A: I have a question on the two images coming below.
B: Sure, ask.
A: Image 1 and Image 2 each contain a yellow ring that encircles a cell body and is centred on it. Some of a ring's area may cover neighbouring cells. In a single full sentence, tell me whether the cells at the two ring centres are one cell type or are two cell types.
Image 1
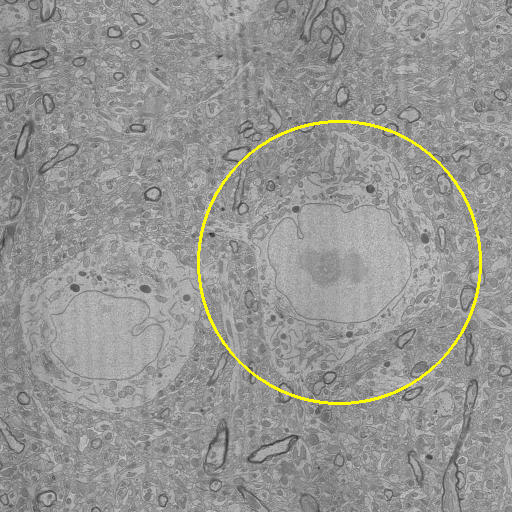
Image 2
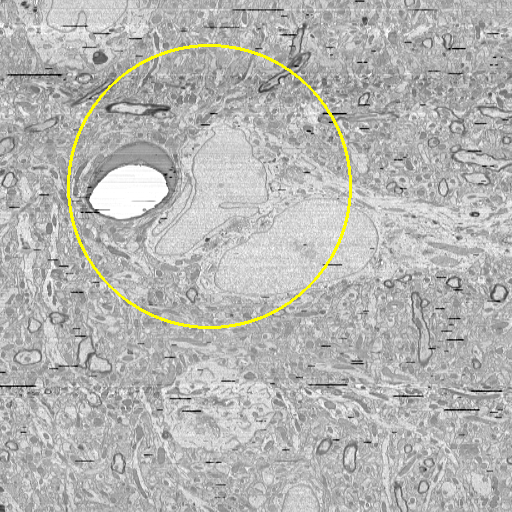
As for the ring-centre cells, the one in Image 1 and the one in Image 2 are one cell type.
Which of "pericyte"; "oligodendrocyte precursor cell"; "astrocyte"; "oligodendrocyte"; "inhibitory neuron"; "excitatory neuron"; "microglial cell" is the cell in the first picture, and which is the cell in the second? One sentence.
In each of the two pictures, the ringed cell is an inhibitory neuron.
